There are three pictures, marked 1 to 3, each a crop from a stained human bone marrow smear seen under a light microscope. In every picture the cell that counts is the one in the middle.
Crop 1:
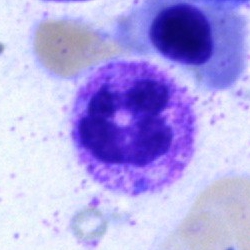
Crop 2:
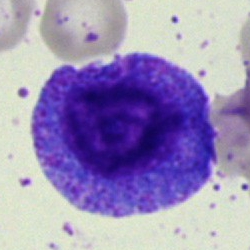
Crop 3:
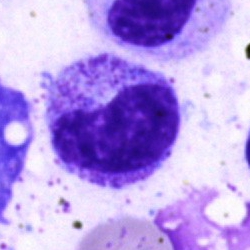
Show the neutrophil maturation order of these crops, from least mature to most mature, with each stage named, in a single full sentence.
By increasing maturity, the cells should be ordered crop 2 (a promyelocyte), crop 3 (a metamyelocyte) and crop 1 (a segmented neutrophil).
